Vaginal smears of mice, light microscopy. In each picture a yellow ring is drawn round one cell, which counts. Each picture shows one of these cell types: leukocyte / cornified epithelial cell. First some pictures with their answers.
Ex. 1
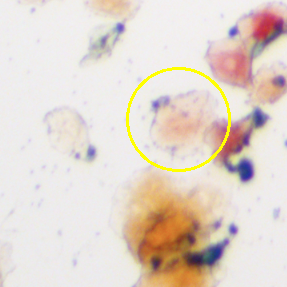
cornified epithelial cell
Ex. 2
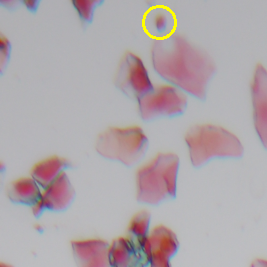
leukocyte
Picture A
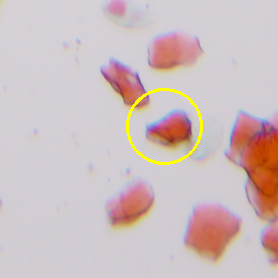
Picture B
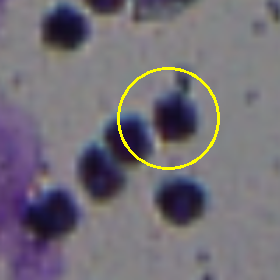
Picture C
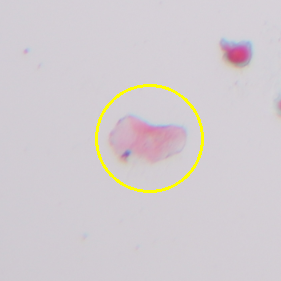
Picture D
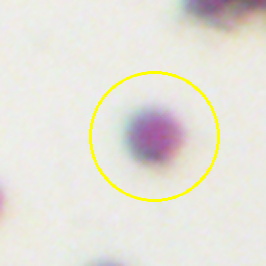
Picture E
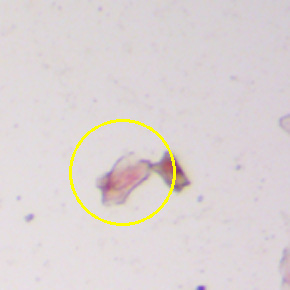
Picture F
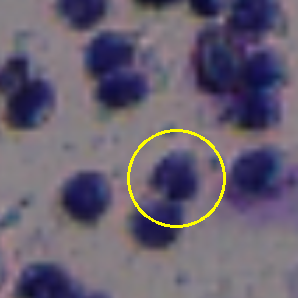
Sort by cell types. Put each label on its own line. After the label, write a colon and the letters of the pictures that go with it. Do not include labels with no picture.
leukocyte: B, D, F
cornified epithelial cell: A, C, E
